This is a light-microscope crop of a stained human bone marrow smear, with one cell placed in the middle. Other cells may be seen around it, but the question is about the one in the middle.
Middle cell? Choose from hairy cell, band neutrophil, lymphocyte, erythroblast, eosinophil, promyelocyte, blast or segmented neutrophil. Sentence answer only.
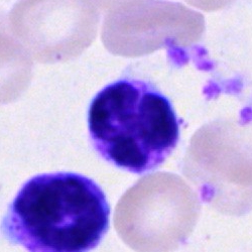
On this slide crop, the central cell is a segmented neutrophil.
